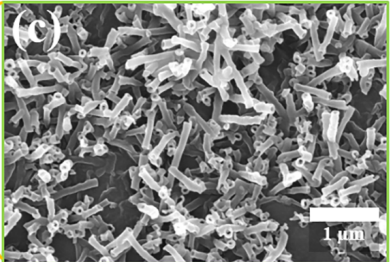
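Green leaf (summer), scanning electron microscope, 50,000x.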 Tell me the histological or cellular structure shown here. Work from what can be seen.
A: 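Homogeneous epicuticular waxes. The surface is densely covered with uniform rod-like crystals. Many rods show hollow, tube-like open ends. The rods are of similar width, well under a micrometre.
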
